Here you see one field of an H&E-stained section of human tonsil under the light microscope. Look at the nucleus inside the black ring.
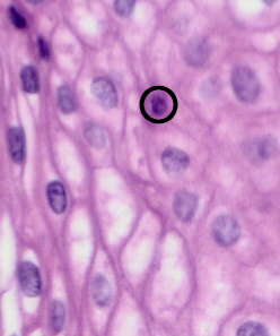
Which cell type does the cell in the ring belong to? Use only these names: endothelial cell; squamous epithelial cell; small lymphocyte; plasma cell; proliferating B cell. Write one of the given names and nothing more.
squamous epithelial cell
